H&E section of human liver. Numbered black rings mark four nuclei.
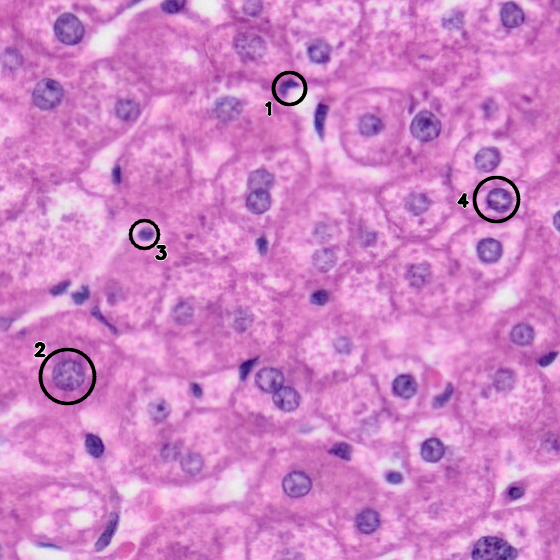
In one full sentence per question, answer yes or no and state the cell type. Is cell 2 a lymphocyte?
No, that is wrong: cell 2 is a hepatocyte, and not a lymphocyte.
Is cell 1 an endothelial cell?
Yes, the cell bearing the number 1 is an endothelial cell.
